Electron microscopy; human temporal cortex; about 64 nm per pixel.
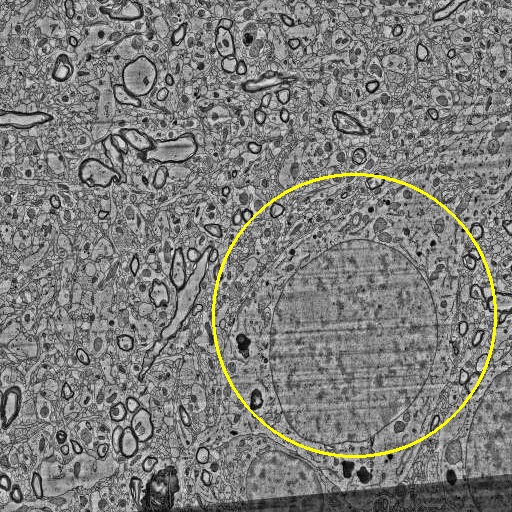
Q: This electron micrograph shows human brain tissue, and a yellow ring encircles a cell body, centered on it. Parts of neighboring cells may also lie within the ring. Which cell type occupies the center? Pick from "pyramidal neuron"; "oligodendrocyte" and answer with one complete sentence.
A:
What sits at the ring's center in this micrograph is a pyramidal neuron, among those choices.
